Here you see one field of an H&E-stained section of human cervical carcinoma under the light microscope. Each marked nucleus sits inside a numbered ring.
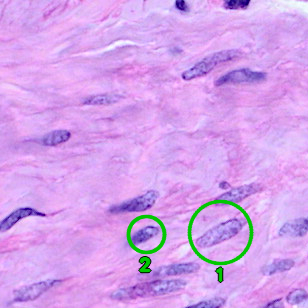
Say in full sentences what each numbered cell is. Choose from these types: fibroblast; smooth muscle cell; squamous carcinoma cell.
Cell 1 is a smooth muscle cell and cell 2 is a fibroblast.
